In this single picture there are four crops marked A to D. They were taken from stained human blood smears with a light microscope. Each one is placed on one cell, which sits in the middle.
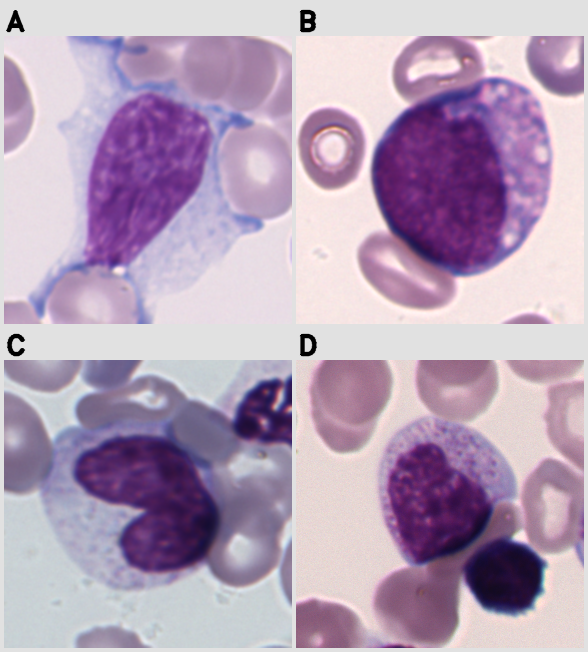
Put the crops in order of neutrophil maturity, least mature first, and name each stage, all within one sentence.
The maturation sequence, earliest to latest, reads crop A (a blast), crop B (a promyelocyte), crop D (a myelocyte) and crop C (a metamyelocyte).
